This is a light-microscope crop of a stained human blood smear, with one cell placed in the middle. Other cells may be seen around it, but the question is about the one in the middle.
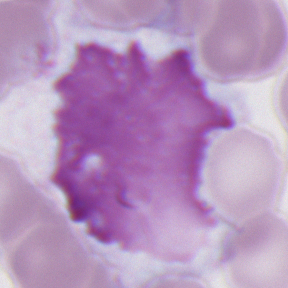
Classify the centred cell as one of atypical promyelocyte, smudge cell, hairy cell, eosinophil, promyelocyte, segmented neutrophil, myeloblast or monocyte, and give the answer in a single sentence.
The centrally located cell in the crop is a smudge cell.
